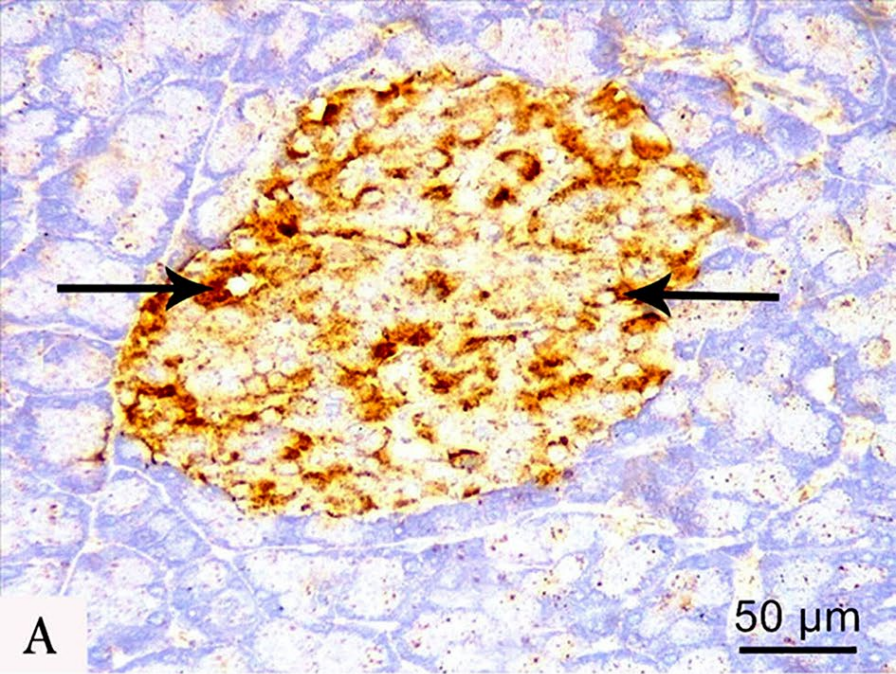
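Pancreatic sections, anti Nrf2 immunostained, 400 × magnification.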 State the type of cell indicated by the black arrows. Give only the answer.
Islet cells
